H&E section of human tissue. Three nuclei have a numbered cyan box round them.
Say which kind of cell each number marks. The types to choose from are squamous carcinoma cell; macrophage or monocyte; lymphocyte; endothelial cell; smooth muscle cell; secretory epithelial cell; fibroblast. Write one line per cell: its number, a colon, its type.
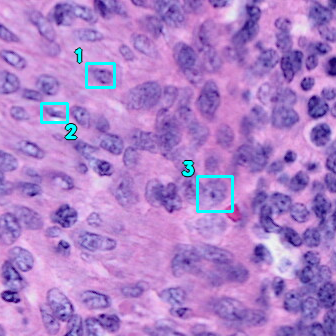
1: smooth muscle cell
2: smooth muscle cell
3: endothelial cell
